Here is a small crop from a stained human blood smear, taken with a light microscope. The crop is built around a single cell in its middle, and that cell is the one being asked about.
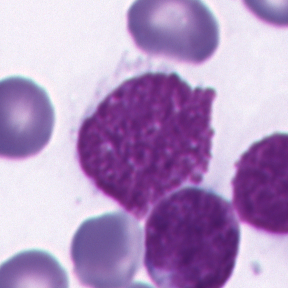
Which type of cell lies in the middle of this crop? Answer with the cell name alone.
smudge cell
